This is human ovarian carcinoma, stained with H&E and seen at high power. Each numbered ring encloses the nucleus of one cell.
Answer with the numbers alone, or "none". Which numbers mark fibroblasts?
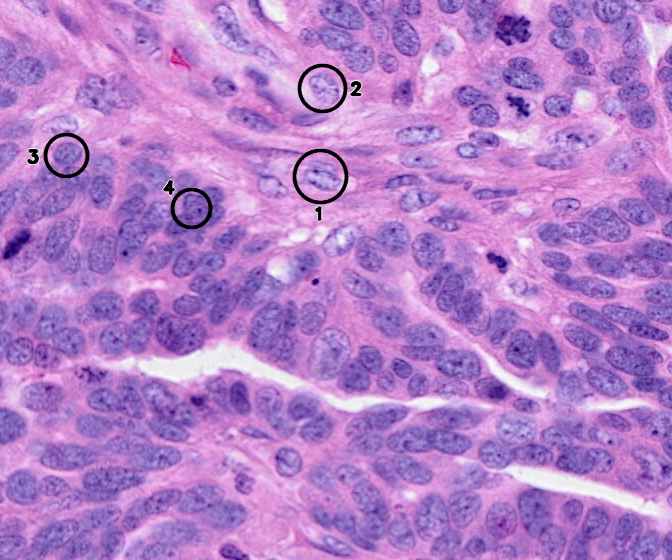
1, 2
